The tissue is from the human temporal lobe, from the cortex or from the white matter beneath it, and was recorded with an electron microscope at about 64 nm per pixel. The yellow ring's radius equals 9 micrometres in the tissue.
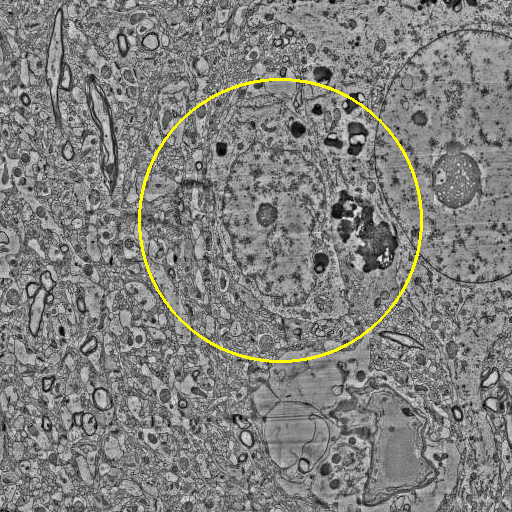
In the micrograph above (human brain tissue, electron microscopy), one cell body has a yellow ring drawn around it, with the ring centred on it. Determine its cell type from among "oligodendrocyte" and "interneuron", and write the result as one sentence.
The cell whose body is ringed is an interneuron.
